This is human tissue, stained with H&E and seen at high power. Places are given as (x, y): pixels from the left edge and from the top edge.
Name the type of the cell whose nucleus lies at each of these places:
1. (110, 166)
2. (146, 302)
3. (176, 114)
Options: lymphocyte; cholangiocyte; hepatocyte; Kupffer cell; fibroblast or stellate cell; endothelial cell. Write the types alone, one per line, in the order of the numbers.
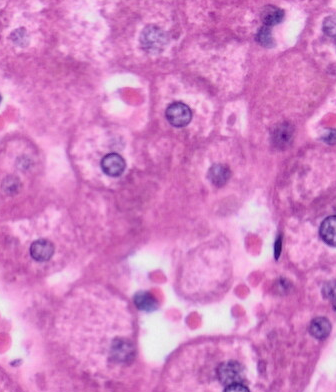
hepatocyte
endothelial cell
hepatocyte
